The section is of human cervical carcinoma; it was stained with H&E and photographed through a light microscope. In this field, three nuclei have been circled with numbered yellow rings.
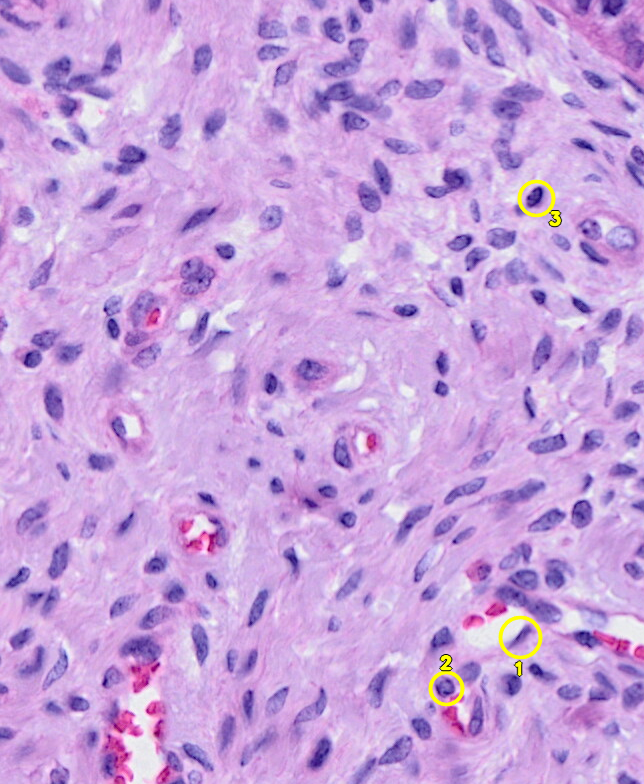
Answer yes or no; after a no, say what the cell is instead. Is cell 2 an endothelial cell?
Yes.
